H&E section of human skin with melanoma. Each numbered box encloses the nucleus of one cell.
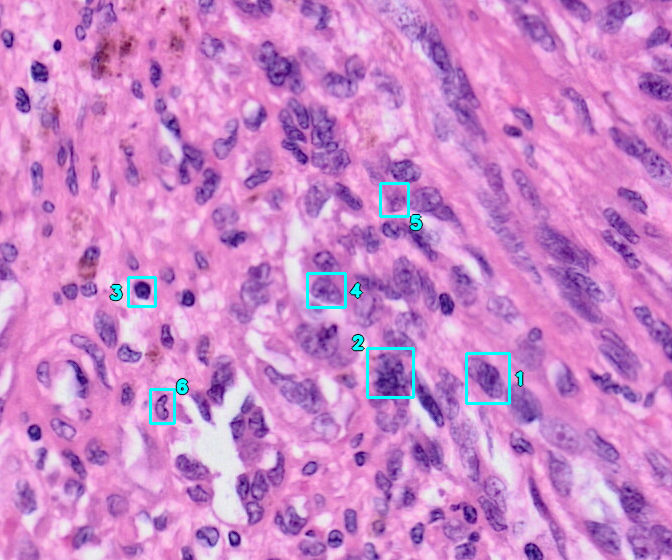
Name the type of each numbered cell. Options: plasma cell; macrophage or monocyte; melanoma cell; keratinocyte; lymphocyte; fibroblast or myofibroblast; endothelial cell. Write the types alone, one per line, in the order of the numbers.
melanoma cell
melanoma cell
lymphocyte
melanoma cell
melanoma cell
macrophage or monocyte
